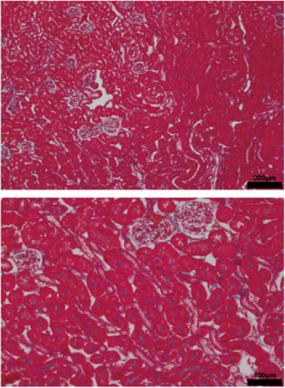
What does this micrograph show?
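This is kidney tissue stained with trichrome, with tubules in red and fibrous tissue in blue. The tubules are closely packed and stain a deep red. Only thin blue lines lie between them, around vessels and around the glomeruli. Several round glomeruli are visible in the field. Broad blue fibrous areas are largely absent.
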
